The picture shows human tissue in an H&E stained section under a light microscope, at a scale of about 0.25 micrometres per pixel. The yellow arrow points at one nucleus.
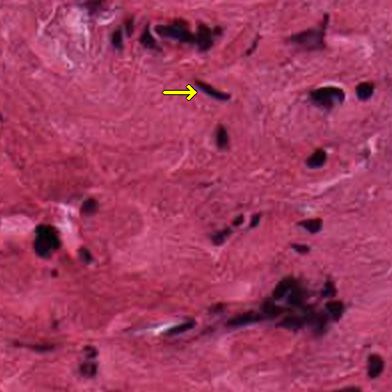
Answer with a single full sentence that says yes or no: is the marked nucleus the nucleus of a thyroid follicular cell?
No, the cell bearing the marked nucleus is not a thyroid follicular cell but a supporting cell.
